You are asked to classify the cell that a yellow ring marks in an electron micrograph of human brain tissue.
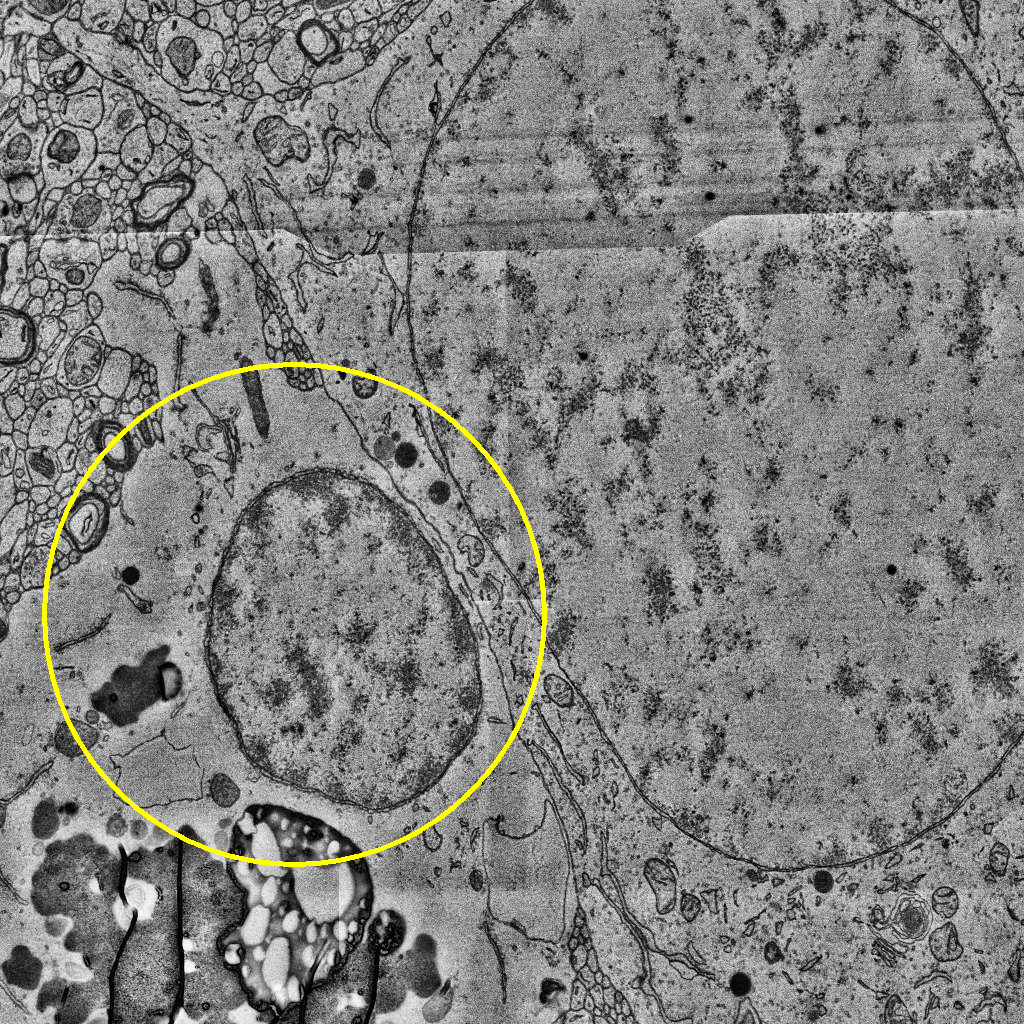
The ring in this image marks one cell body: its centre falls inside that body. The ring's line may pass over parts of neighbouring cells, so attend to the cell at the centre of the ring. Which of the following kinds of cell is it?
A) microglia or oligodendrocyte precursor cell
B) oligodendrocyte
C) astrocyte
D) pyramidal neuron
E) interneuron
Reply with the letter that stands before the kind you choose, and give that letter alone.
C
